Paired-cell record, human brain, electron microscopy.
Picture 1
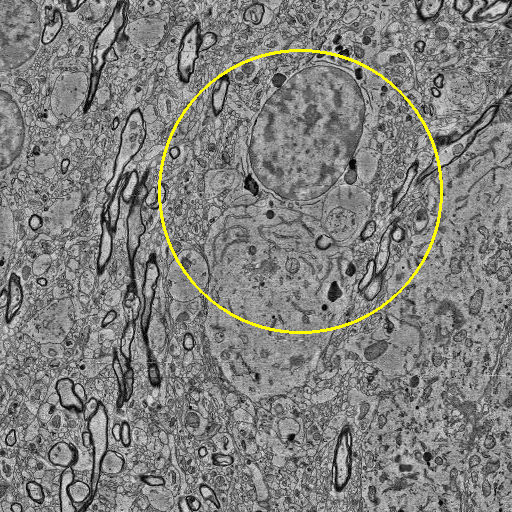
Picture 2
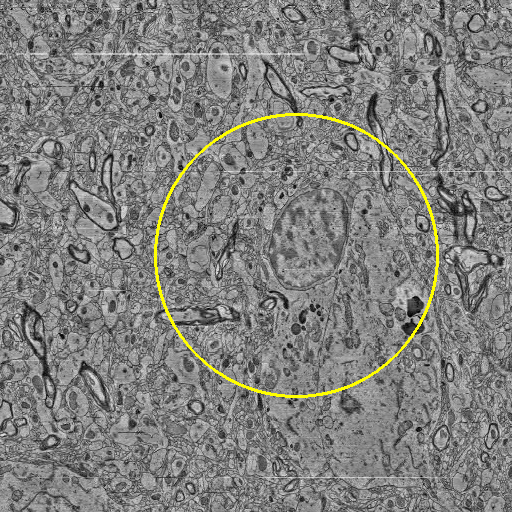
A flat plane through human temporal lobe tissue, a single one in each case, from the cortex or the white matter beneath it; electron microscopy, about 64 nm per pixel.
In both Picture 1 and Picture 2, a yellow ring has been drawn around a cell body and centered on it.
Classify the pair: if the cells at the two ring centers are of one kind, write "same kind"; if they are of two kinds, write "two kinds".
two kinds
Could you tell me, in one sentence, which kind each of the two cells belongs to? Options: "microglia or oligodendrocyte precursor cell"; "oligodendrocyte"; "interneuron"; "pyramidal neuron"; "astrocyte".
At the centre of the first ring sits a microglial cell or oligodendrocyte precursor cell, and at the centre of the second sits an oligodendrocyte.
